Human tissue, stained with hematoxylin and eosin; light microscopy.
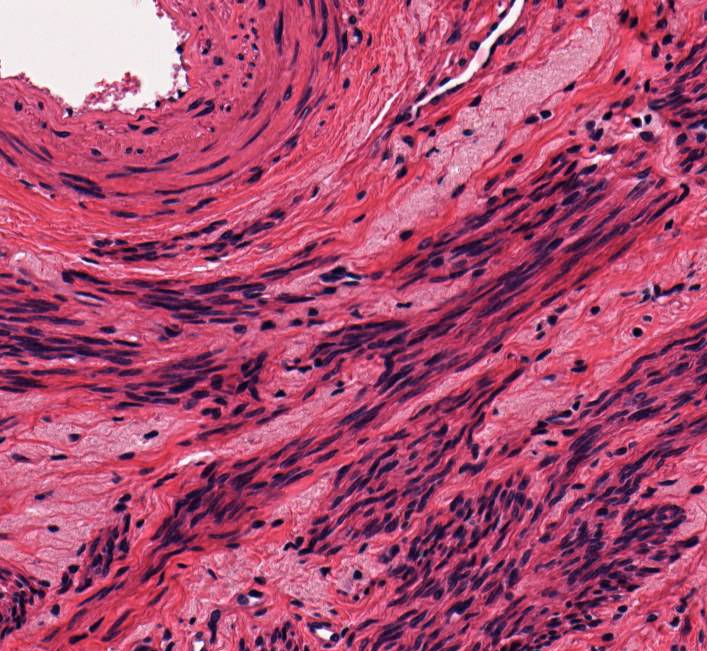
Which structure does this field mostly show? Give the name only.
smooth muscle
